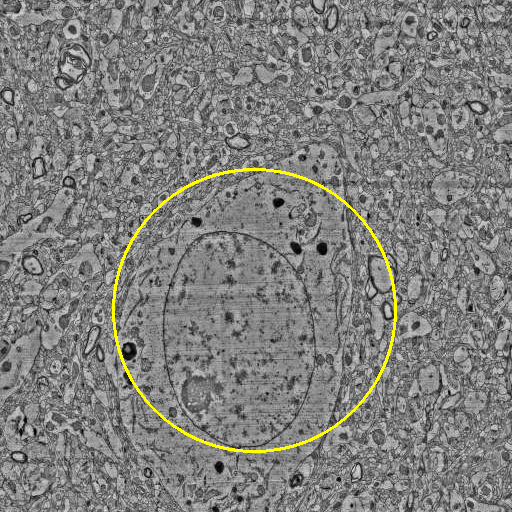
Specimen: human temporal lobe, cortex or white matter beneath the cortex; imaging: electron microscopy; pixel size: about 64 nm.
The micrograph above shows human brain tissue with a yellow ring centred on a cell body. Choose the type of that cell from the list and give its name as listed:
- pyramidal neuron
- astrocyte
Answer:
pyramidal neuron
